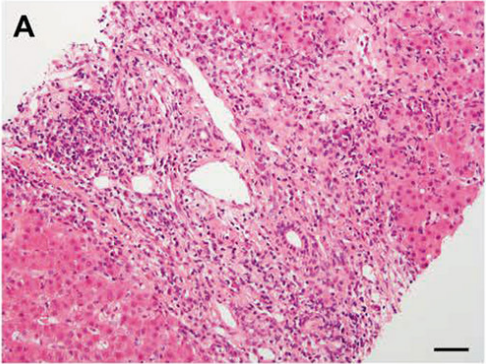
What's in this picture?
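Liver tissue is crossed by a broad band of densely packed small mononuclear inflammatory cells with scattered small vessels and fibrous tissue, flanked on either side by plates of large polygonal hepatocytes with pink cytoplasm. The inflammatory cells do not stay confined to this band but spill into the surrounding hepatocyte plates, blurring the border between the portal tract and the parenchyma. This picture is an expanded, inflamed and fibrotic portal area with interface hepatitis, as seen in severe chronic hepatitis.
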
